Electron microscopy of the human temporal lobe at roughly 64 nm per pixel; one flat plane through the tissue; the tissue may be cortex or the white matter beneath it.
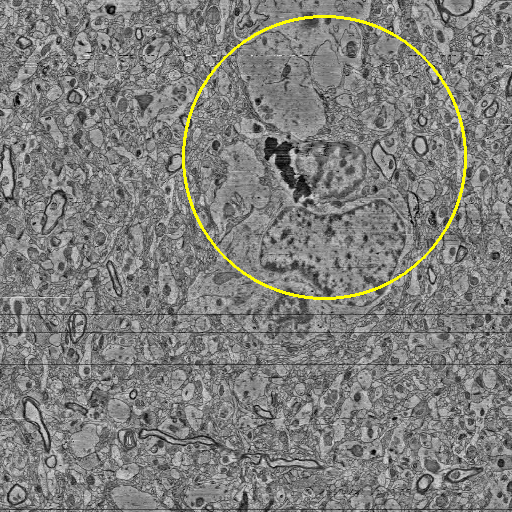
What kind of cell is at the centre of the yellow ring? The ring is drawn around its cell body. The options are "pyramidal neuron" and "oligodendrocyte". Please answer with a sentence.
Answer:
The yellow ring marks the cell body of an oligodendrocyte.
